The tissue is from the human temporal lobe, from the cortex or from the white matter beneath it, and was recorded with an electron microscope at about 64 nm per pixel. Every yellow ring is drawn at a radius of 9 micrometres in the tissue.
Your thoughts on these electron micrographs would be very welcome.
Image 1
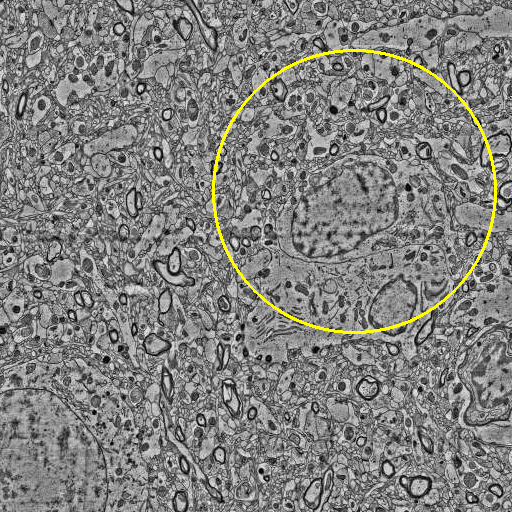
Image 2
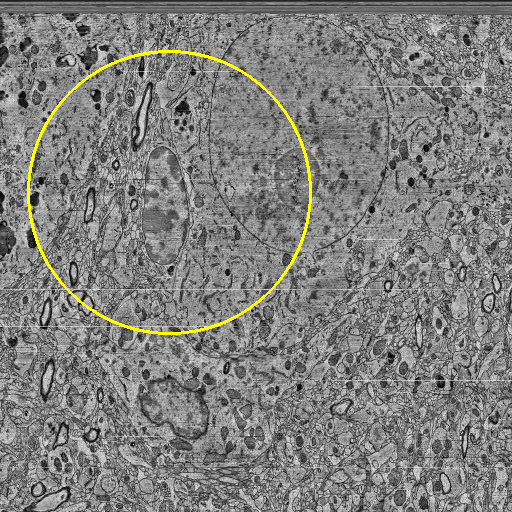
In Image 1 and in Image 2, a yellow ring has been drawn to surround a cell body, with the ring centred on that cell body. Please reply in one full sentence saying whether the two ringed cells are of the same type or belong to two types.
The ringed cells in Image 1 and Image 2 belong to two types.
